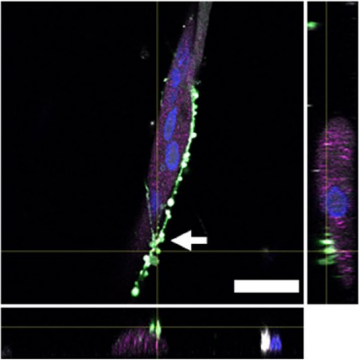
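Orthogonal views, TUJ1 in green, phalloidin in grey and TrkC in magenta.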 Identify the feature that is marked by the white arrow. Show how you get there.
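Round green swellings sit at the end of an elongated magenta cell. The side views show green spots against the cell.
Conclusion: synaptic buttons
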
